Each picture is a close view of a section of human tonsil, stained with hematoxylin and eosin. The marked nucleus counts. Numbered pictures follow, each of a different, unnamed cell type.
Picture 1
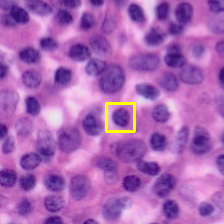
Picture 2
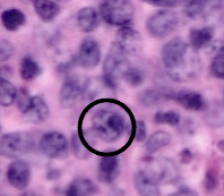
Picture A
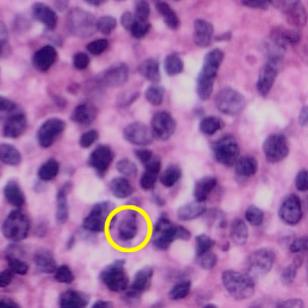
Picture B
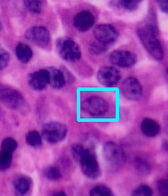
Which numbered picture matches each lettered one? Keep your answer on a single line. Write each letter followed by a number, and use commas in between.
A 2, B 1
